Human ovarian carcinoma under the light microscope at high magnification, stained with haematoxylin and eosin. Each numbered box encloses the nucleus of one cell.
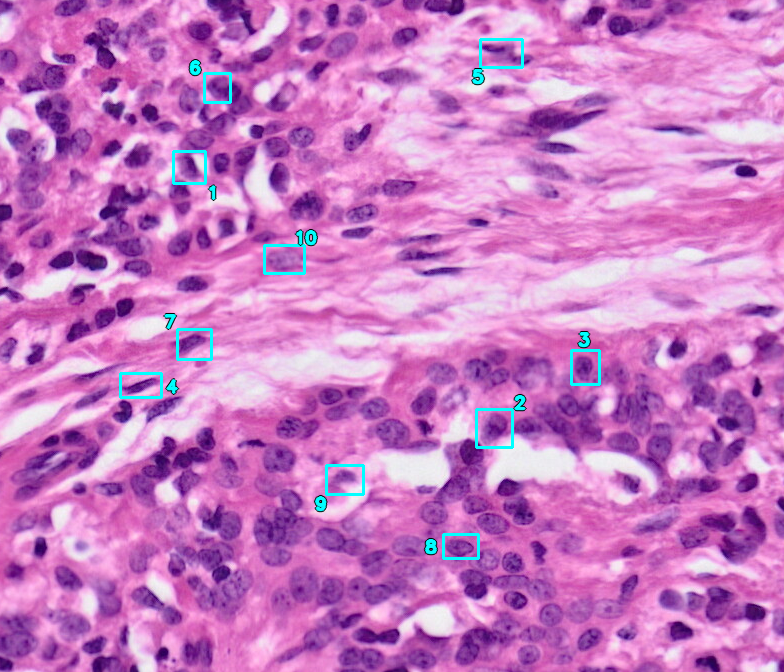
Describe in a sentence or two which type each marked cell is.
Cell 1 is a carcinoma cell, cell 2 is a carcinoma cell, cell 3 is a macrophage or monocyte, cell 4 is a fibroblast, cell 5 is a fibroblast, cell 6 is a carcinoma cell, cell 7 is a fibroblast, cell 8 is a carcinoma cell, cell 9 is a macrophage or monocyte and cell 10 is an endothelial cell.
